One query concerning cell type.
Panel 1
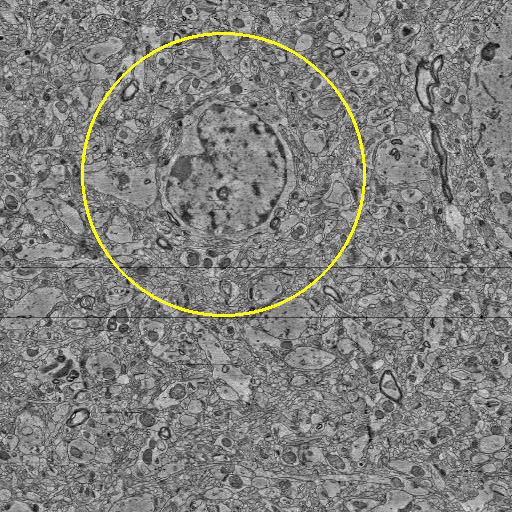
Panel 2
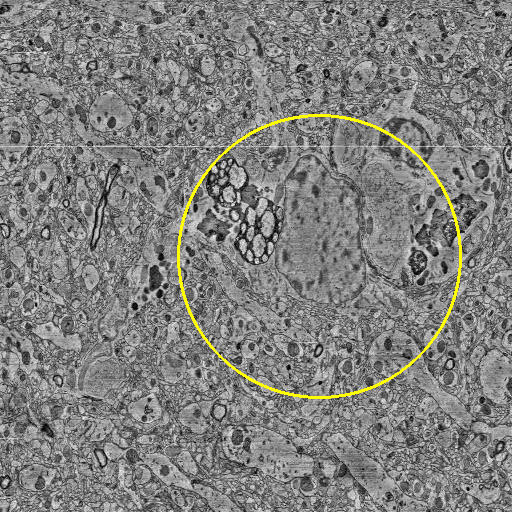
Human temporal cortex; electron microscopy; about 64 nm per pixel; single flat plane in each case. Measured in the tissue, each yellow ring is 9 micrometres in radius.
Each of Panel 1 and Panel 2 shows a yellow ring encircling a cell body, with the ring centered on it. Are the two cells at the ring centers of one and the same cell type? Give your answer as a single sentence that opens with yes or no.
No, the cell centered in Panel 1 and the one in Panel 2 are of two types.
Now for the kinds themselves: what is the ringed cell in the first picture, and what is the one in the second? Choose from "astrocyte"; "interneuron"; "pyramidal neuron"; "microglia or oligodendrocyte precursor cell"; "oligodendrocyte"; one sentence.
Here the first cell is a microglial cell or oligodendrocyte precursor cell and the second cell is an astrocyte.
